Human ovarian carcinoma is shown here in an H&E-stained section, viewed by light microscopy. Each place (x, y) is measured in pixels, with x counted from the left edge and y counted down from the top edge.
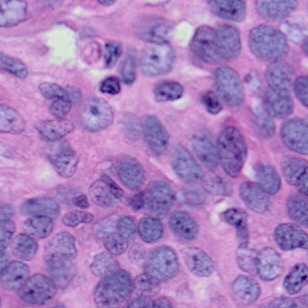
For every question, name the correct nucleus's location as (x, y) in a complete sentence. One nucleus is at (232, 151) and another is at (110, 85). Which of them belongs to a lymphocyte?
Of the two options, the nucleus at (110, 85) is the one that belongs to a lymphocyte.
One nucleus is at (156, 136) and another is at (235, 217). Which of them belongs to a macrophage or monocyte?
Of the two candidate nuclei, the one at (235, 217) is that of a macrophage or monocyte.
